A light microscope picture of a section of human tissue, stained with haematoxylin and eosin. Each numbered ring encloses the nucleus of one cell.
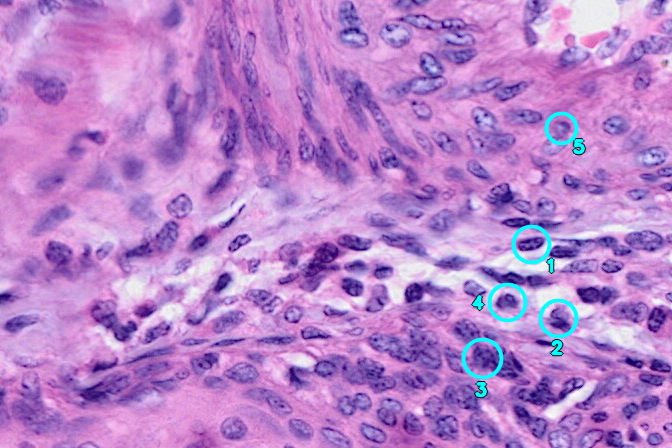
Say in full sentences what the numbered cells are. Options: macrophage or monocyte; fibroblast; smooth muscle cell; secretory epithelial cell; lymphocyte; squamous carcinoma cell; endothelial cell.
Cell 1 is a lymphocyte, cell 2 is a lymphocyte, cell 3 is a squamous carcinoma cell, cell 4 is a lymphocyte and cell 5 is a smooth muscle cell.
